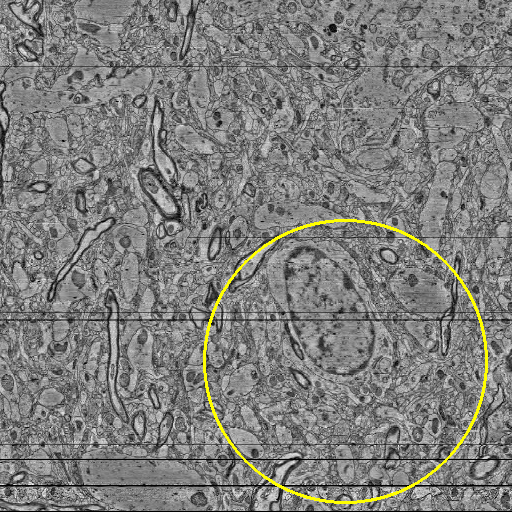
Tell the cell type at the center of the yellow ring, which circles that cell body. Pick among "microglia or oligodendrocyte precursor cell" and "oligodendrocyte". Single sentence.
The ring is centered on the body of a microglial cell or oligodendrocyte precursor cell.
